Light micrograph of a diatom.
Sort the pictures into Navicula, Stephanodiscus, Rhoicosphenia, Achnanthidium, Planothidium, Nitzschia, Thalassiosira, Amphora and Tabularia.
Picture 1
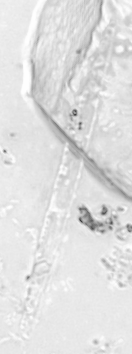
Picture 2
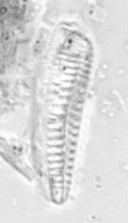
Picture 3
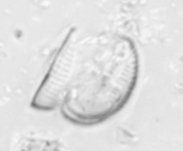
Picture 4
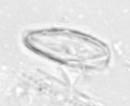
Nitzschia: 1
Rhoicosphenia: 2
Amphora: 3
Achnanthidium: 4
